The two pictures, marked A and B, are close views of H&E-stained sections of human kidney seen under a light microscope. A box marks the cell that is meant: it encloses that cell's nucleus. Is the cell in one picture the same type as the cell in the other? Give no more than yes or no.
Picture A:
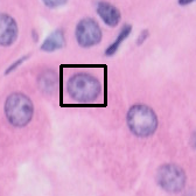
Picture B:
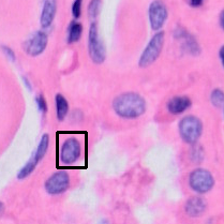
no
